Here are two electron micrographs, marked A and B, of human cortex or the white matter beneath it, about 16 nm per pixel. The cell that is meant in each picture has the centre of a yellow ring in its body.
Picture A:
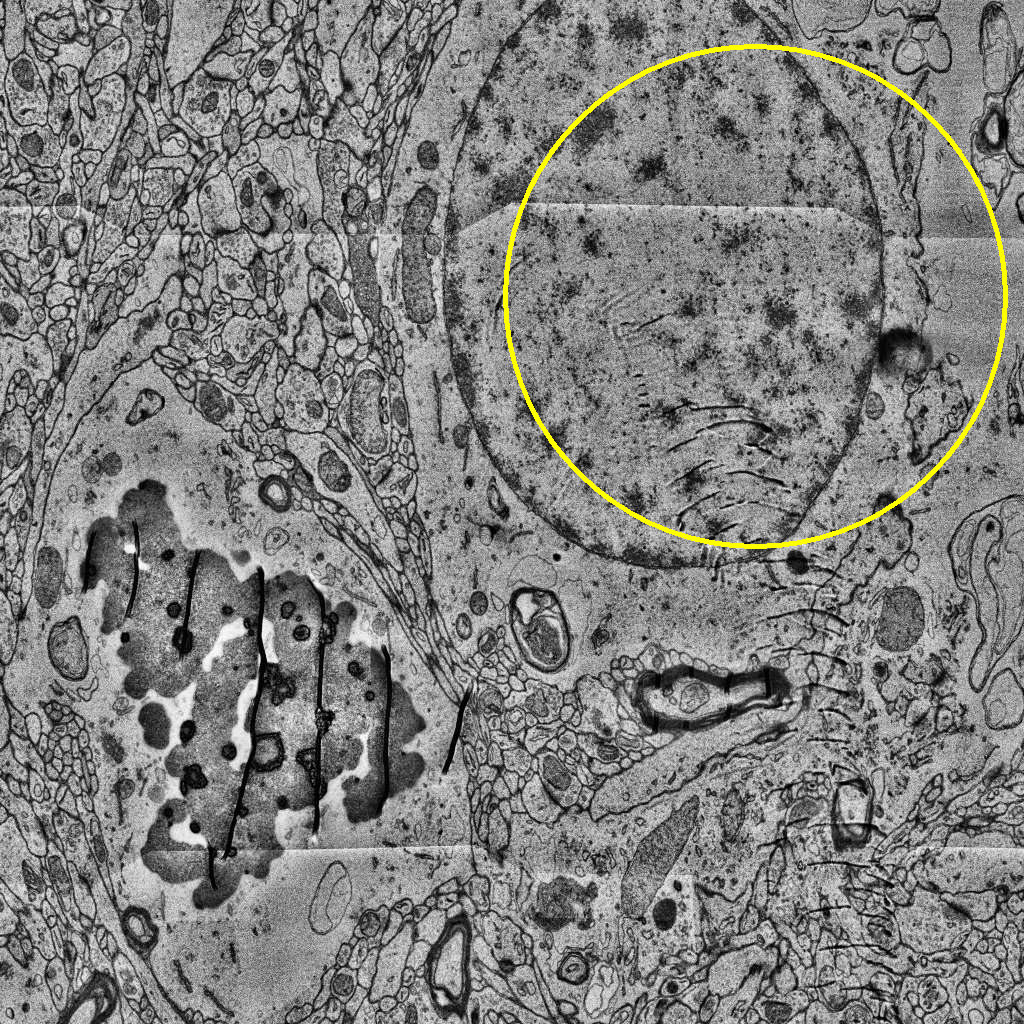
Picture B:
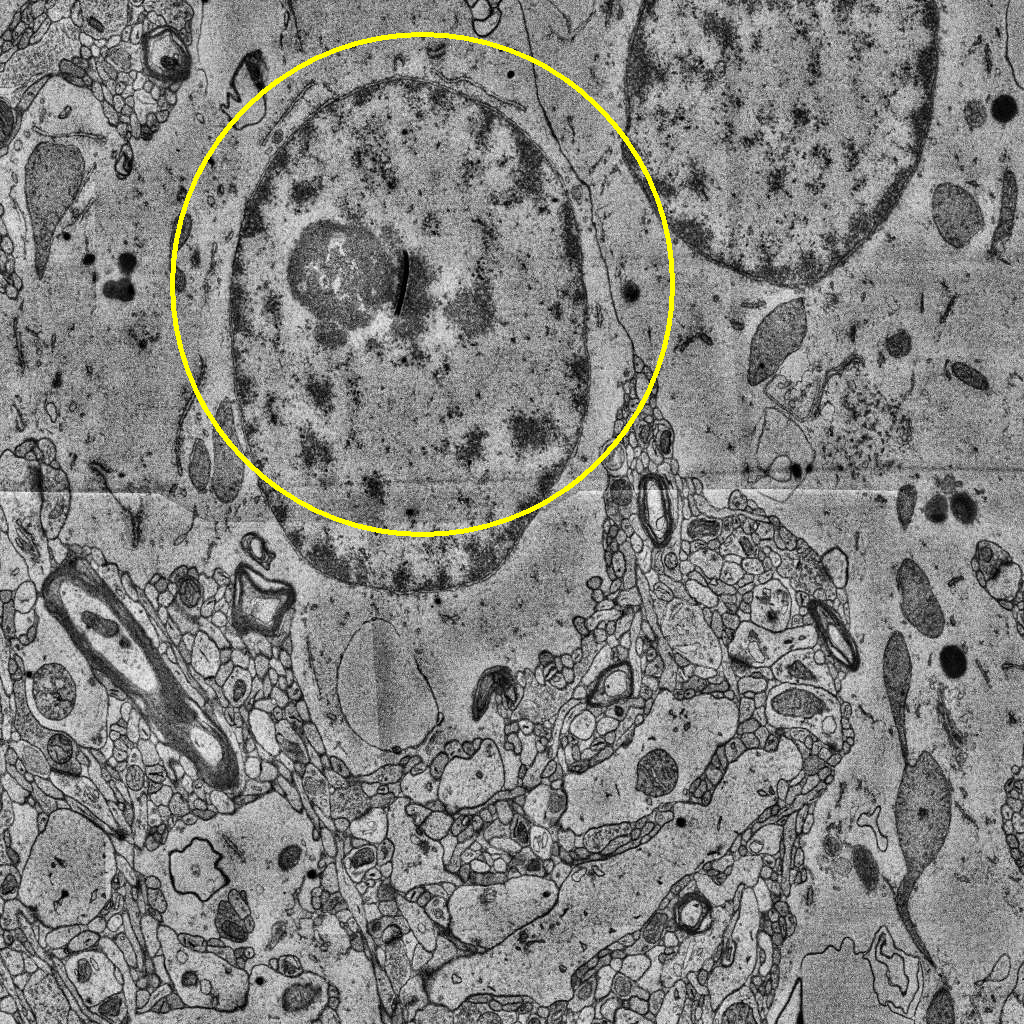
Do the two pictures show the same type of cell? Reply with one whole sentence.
Yes; the cells in both pictures are astrocytes.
